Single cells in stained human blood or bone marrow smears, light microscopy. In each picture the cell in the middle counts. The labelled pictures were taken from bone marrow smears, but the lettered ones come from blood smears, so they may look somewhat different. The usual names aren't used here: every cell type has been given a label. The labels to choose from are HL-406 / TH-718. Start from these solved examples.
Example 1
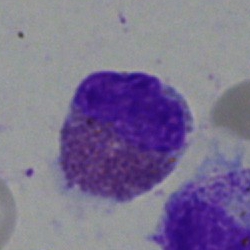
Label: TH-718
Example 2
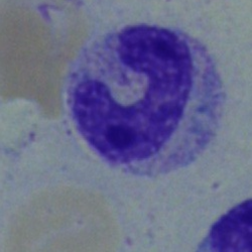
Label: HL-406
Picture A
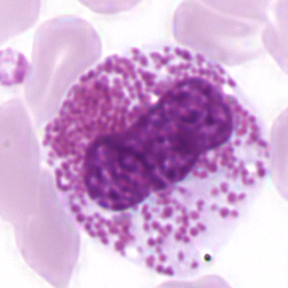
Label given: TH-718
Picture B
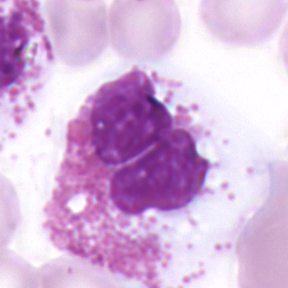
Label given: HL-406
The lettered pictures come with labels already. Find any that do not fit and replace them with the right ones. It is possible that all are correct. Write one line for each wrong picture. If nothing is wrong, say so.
B: TH-718, not HL-406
